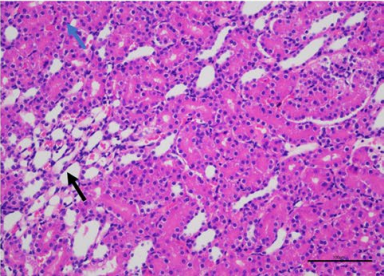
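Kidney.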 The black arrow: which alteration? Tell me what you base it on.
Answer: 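The arrow points at a cluster of tubules with widened, slit-like empty lumens.
Hence: expansion.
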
